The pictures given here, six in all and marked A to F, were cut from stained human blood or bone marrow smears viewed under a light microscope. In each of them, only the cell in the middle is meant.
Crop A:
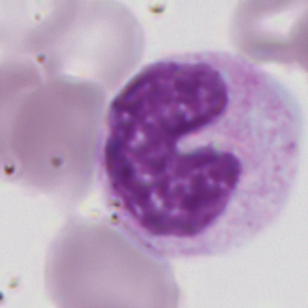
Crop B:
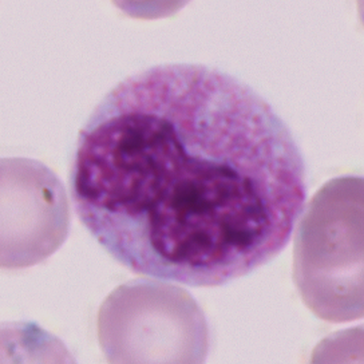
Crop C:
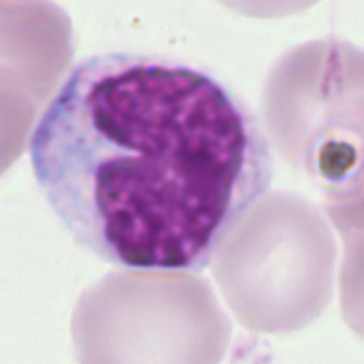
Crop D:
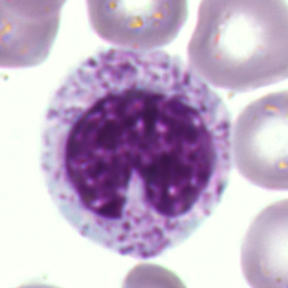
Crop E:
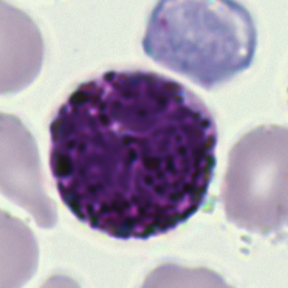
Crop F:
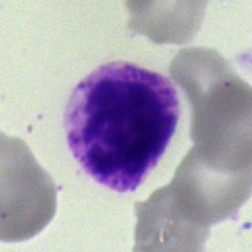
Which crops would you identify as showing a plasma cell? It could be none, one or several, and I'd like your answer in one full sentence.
No, none of these crops shows a plasma cell.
